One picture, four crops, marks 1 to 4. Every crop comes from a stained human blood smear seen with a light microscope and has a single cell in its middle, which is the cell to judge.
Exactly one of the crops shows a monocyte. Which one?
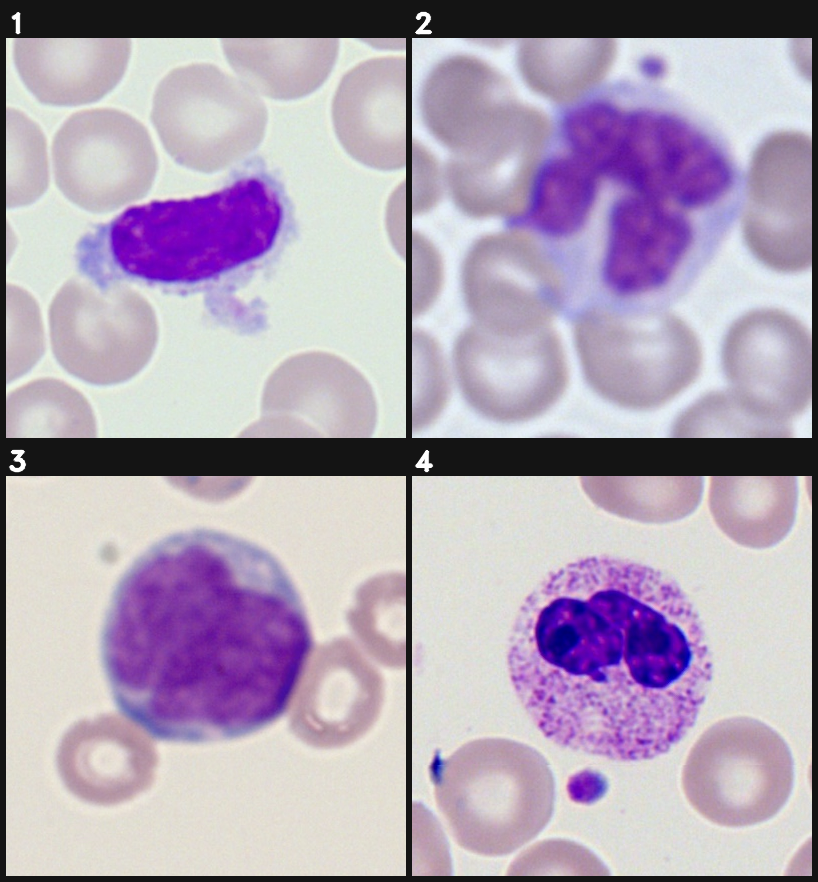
2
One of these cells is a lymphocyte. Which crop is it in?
1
